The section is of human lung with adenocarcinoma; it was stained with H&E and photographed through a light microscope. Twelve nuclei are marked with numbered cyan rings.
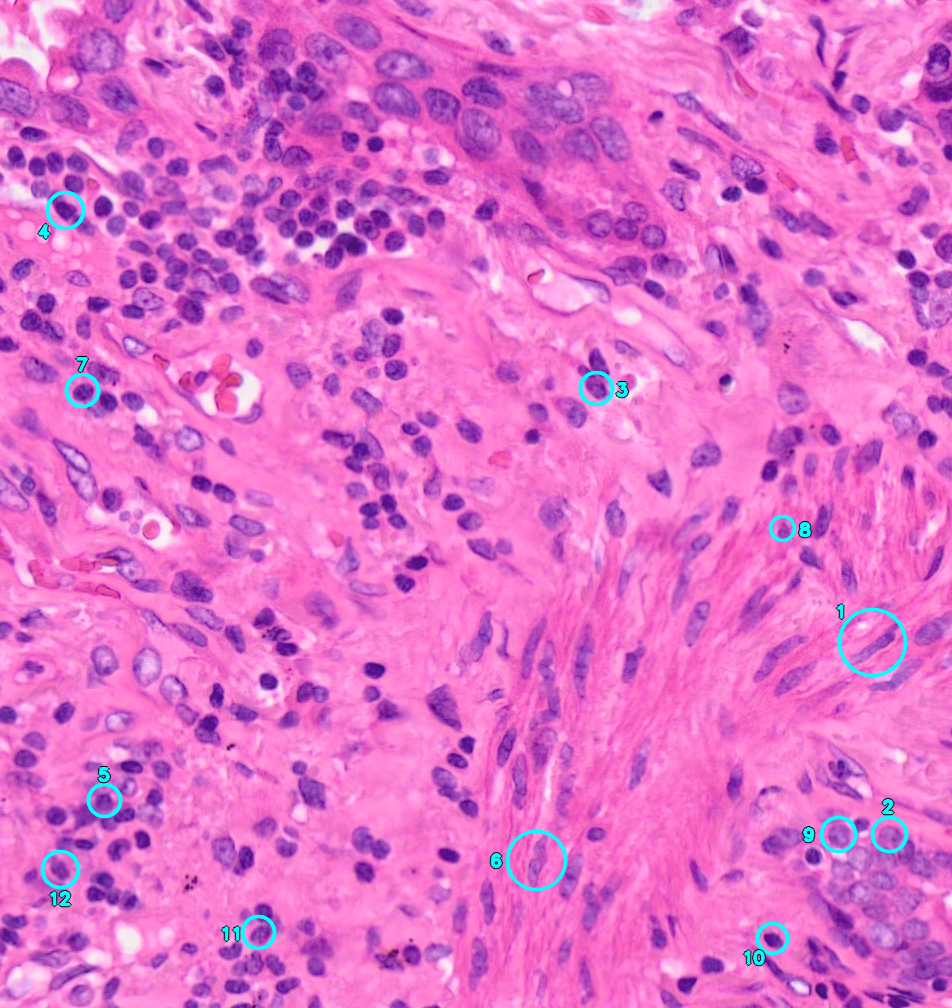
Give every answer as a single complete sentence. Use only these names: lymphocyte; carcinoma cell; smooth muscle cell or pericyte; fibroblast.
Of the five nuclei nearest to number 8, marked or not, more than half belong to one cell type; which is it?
Around number 8, most of the five nearest nuclei are those of smooth muscle cells or pericytes.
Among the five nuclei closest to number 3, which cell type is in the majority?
Fibroblasts account for more than half of the five nuclei nearest to number 3.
